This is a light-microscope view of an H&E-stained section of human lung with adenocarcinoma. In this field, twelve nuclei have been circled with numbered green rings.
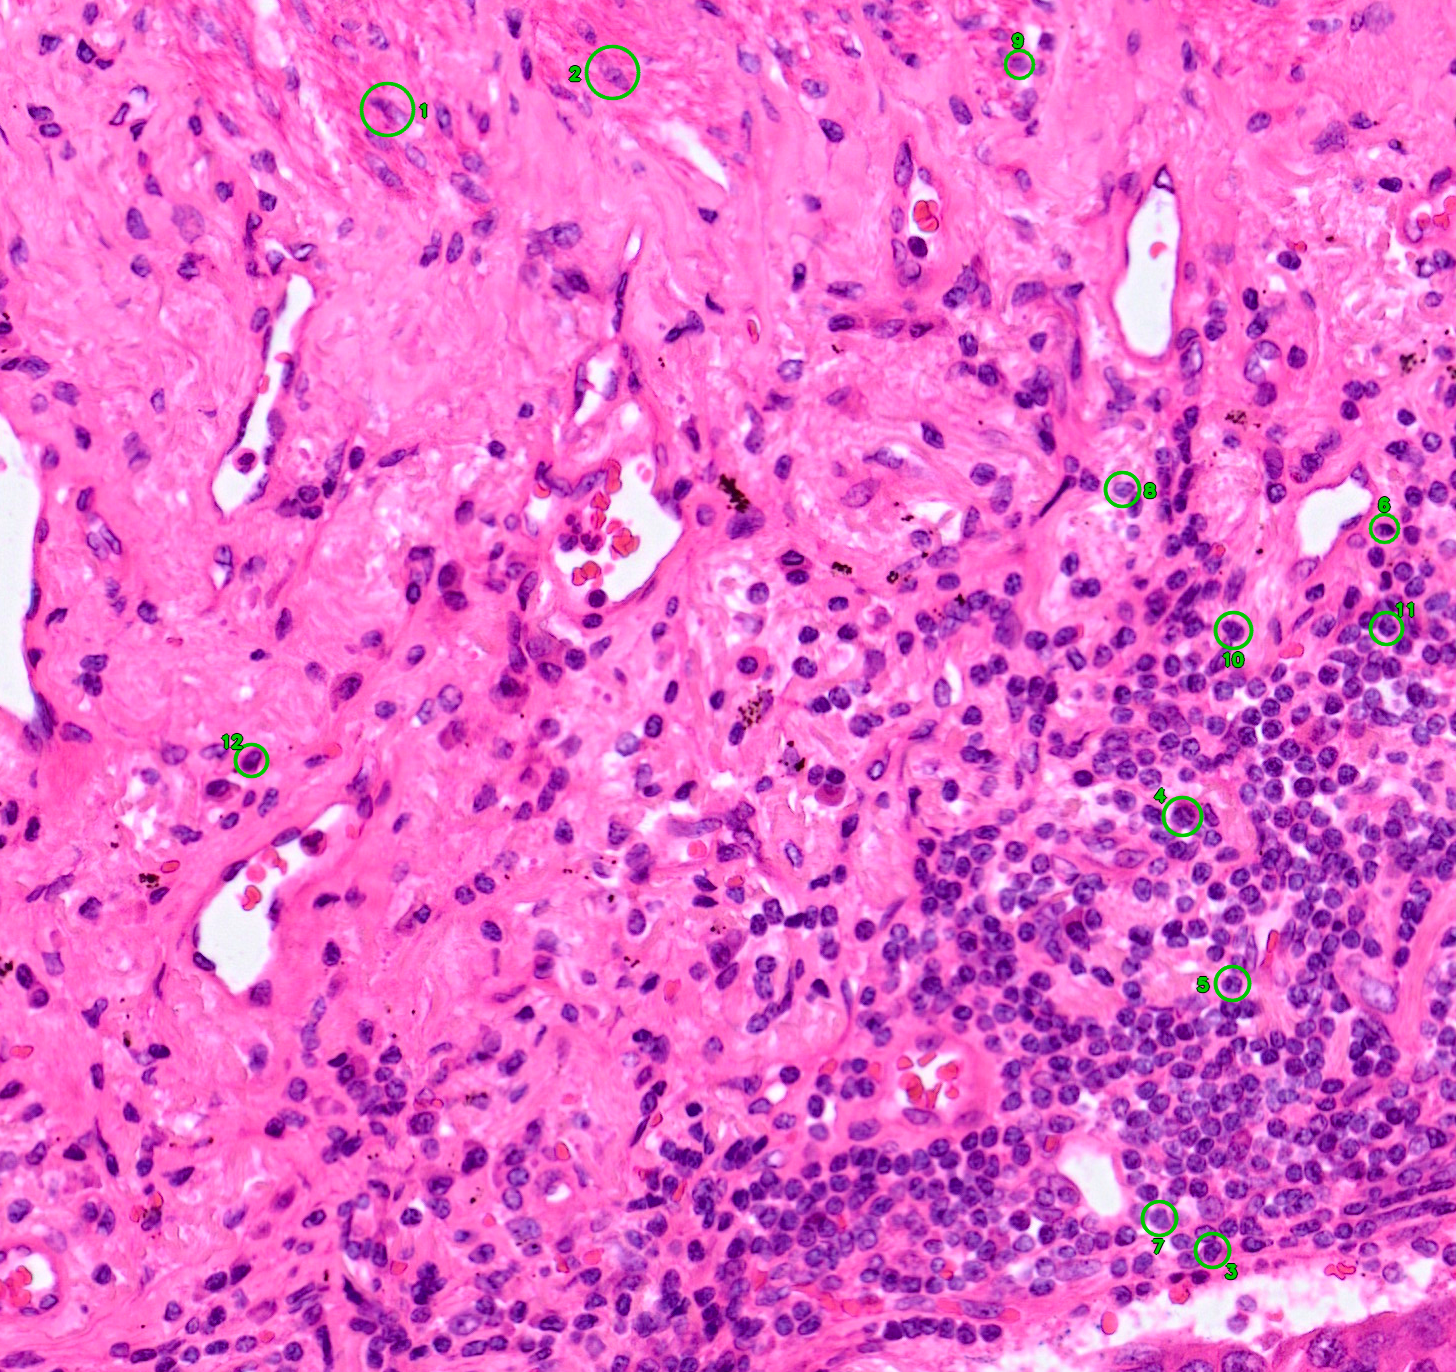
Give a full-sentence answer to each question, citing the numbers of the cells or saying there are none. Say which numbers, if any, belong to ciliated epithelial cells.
Without exception, the numbered cells are not ciliated epithelial cells.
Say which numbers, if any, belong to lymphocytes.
The numbers 3, 5, 6, 7, 8, 10 and 11 in this section indicate lymphocytes.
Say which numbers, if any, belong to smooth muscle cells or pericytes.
Cells 1, 2 and 9 are smooth muscle cells or pericytes by cell type.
